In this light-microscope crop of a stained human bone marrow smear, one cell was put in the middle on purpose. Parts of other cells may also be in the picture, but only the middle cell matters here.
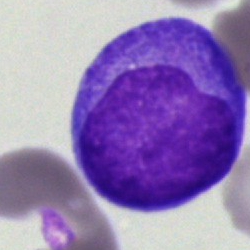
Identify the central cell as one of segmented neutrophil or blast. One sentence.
Answering briefly, the cell in the middle is a blast.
